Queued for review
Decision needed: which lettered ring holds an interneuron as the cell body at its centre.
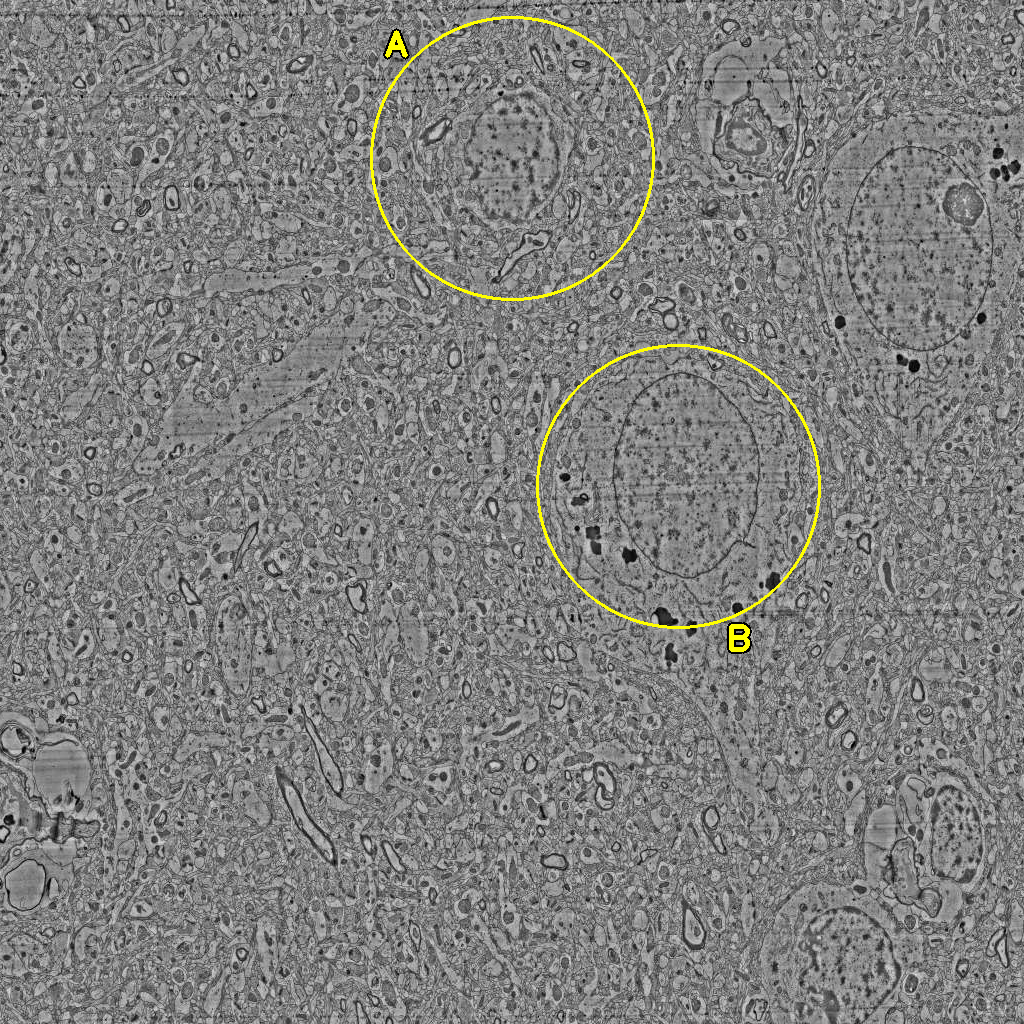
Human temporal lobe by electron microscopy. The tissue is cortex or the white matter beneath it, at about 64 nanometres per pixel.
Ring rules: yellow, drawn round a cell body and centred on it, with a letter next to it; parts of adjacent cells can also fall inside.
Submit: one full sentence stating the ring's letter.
The cell asked for is the one at the centre of ring A in the picture.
